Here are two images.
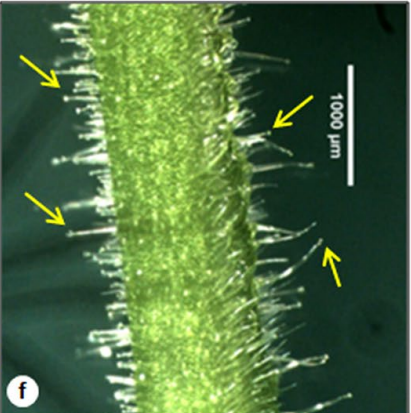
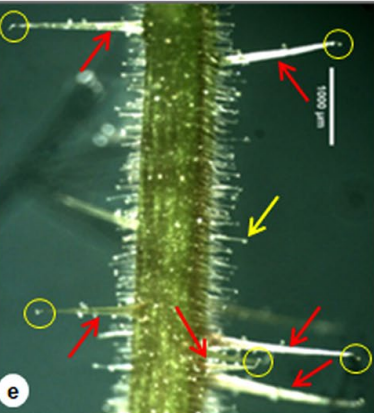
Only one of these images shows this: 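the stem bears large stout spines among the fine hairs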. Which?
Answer: The second image.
